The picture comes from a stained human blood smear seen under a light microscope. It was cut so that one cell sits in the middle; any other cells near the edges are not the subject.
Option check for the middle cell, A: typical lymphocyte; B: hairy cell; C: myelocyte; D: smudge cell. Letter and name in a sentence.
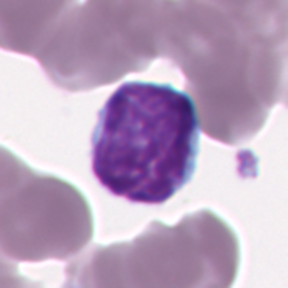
The cell in the middle is a typical lymphocyte, and that makes option A correct.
